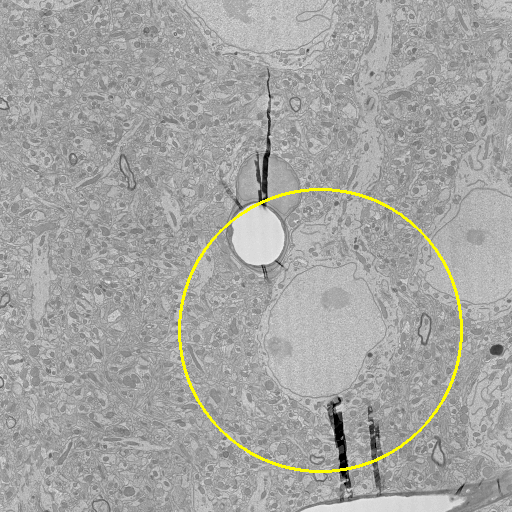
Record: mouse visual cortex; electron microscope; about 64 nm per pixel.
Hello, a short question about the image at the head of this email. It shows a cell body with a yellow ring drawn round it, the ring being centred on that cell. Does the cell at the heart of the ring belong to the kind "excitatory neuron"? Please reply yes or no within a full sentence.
Yes, the cell at the heart of the ring in that image is of that kind.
